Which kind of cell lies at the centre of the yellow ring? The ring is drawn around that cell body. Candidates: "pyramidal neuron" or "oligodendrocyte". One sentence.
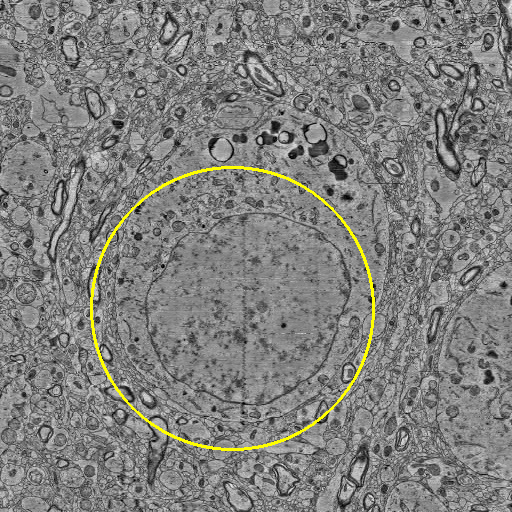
Lying at the centre of the ring is a pyramidal neuron.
